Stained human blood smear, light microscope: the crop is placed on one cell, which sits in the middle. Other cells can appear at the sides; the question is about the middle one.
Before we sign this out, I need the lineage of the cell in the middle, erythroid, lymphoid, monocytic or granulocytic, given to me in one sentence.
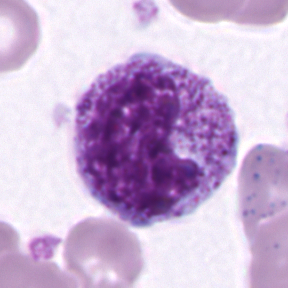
The cell at the center of this crop is of granulocytic lineage.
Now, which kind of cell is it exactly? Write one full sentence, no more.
The crop shows a metamyelocyte in its centre.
